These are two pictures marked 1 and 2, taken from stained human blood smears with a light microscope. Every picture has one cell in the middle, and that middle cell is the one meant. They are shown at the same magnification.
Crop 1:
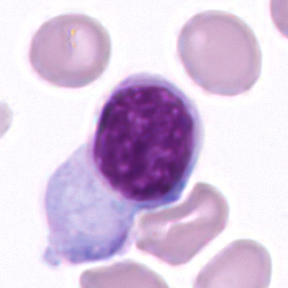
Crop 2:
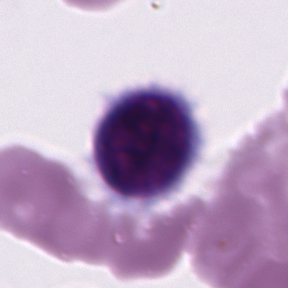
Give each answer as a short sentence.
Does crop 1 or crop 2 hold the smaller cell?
It is the cell in crop 2; the cell in crop 1 has about 2 times its area.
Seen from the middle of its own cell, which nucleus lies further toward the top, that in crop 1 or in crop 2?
In crop 1 the nucleus is shifted more toward the top.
